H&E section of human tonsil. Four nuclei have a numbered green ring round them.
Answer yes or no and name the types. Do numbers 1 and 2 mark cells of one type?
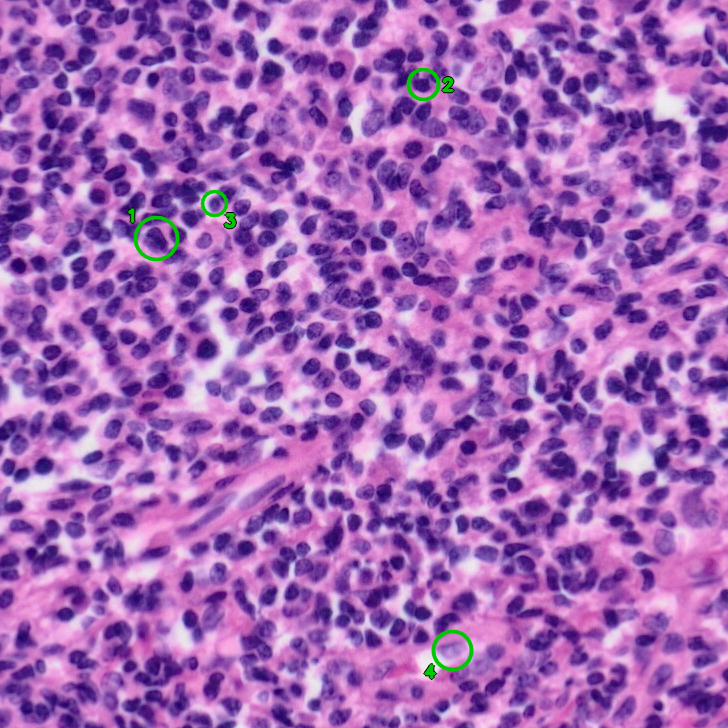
Yes, cells 1 and 2 both count as small lymphocytes.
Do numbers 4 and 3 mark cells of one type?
No, cell 3 is a small lymphocyte, but cell 4 is an endothelial cell.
